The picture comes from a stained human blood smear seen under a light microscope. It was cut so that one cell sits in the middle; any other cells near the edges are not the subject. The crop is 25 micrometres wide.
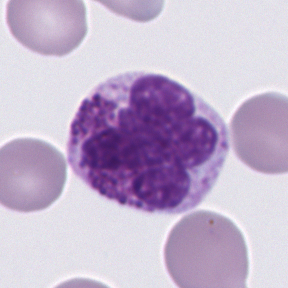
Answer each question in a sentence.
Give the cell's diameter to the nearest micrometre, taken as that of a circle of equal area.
The cell is about 13 micrometres across.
